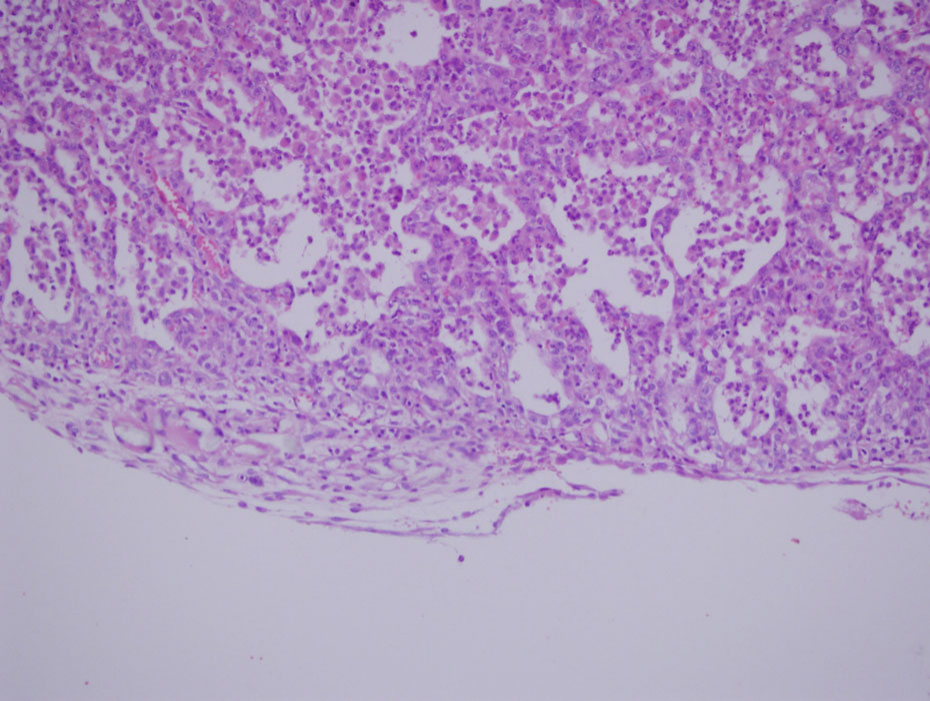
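This is lung parenchyma in which the alveoli are narrowed and irregular, with crowded, thickened septa full of purple nuclei. Many loose cells float within the remaining airspaces. Along the lower edge, a thin layer of looser connective tissue and a delicate surface membrane border the dense tissue.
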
